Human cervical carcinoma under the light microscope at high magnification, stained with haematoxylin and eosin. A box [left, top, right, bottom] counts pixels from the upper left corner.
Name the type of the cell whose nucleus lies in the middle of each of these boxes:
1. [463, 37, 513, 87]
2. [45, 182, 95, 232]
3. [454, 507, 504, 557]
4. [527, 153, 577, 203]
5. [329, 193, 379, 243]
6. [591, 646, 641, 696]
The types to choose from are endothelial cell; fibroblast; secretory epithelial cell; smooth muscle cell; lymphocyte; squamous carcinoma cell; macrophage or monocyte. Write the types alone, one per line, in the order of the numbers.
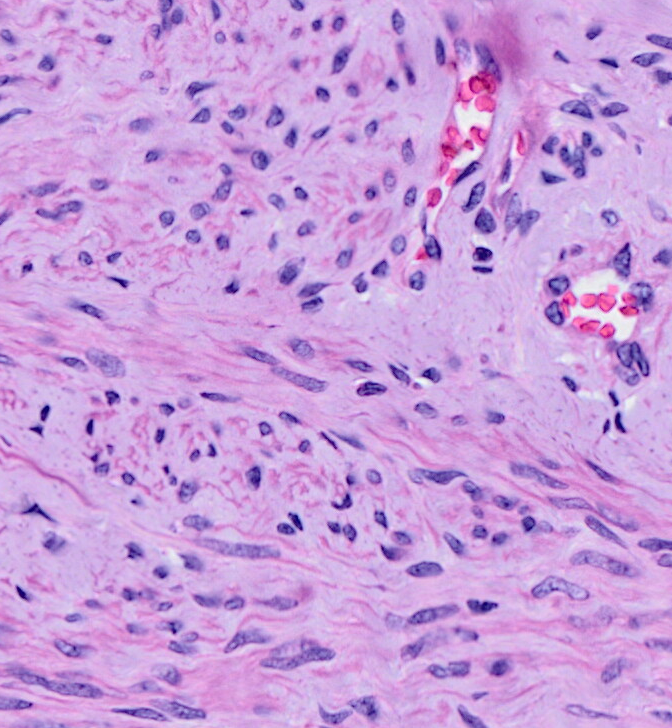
endothelial cell
smooth muscle cell
smooth muscle cell
fibroblast
smooth muscle cell
smooth muscle cell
